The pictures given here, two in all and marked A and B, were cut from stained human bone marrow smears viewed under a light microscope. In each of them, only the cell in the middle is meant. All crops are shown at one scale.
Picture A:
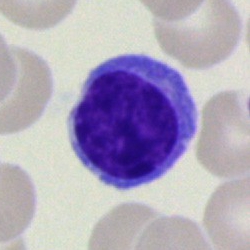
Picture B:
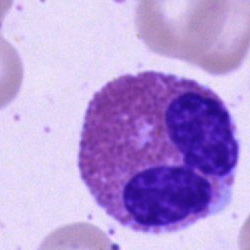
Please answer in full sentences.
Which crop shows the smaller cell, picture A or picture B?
Smaller is the cell in picture A, and the other is about 1.5 times as large in area.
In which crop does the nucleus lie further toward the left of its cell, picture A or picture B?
The nucleus in picture A lies further toward the left of its cell.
